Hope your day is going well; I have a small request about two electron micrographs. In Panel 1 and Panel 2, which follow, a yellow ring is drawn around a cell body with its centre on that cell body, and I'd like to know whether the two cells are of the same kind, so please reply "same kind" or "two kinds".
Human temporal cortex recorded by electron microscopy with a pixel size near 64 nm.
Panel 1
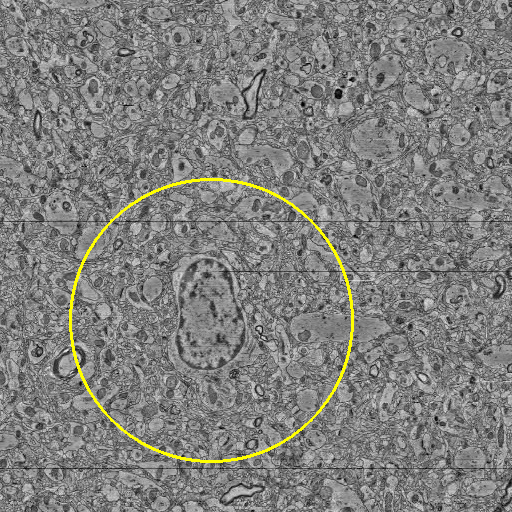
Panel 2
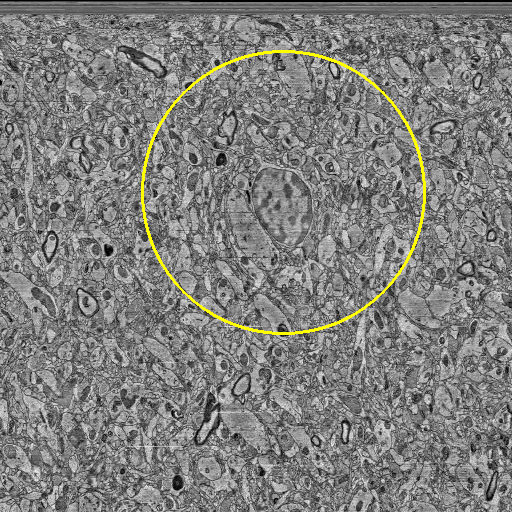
same kind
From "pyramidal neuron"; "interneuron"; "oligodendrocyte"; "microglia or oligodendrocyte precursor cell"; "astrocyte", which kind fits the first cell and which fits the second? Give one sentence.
Each of the two cells is a microglial cell or oligodendrocyte precursor cell.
